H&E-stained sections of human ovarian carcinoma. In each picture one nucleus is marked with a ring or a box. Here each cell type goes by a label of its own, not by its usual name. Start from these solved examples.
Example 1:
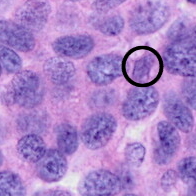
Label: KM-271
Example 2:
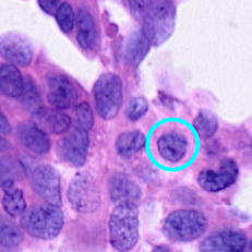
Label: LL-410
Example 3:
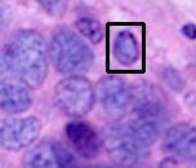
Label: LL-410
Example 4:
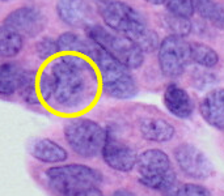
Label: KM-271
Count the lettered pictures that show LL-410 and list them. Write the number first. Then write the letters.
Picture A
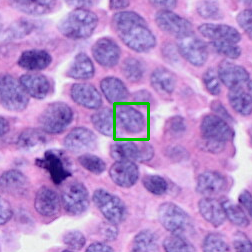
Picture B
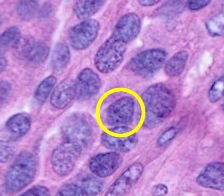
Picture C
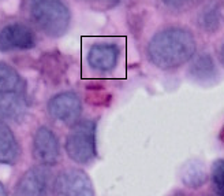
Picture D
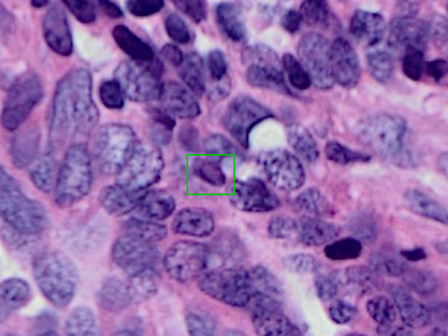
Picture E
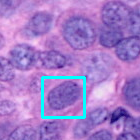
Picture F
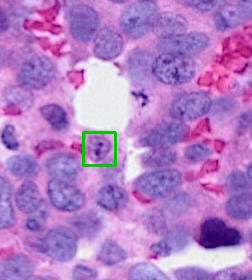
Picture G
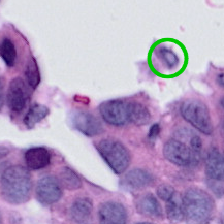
3: C, F, G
